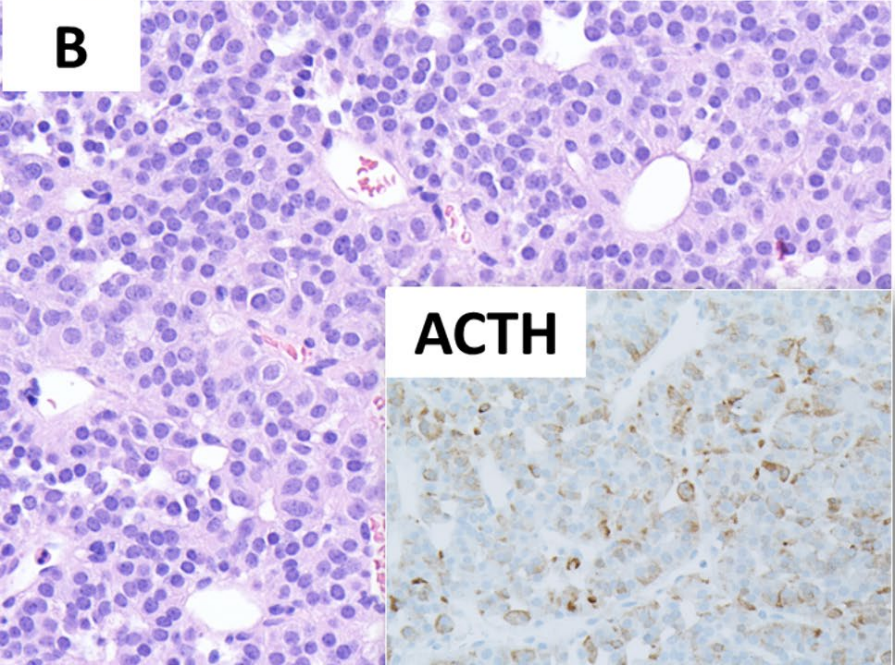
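This is a pituitary tumor of corticotroph cells growing in solid sheets around small thin-walled blood vessels. The cells are fairly uniform, with round nuclei containing finely speckled chromatin and a pale lilac, faintly granular cytoplasm. In the inset, brown staining is patchy, appearing as dots and small clumps in the cytoplasm of scattered cells rather than filling every cell.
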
